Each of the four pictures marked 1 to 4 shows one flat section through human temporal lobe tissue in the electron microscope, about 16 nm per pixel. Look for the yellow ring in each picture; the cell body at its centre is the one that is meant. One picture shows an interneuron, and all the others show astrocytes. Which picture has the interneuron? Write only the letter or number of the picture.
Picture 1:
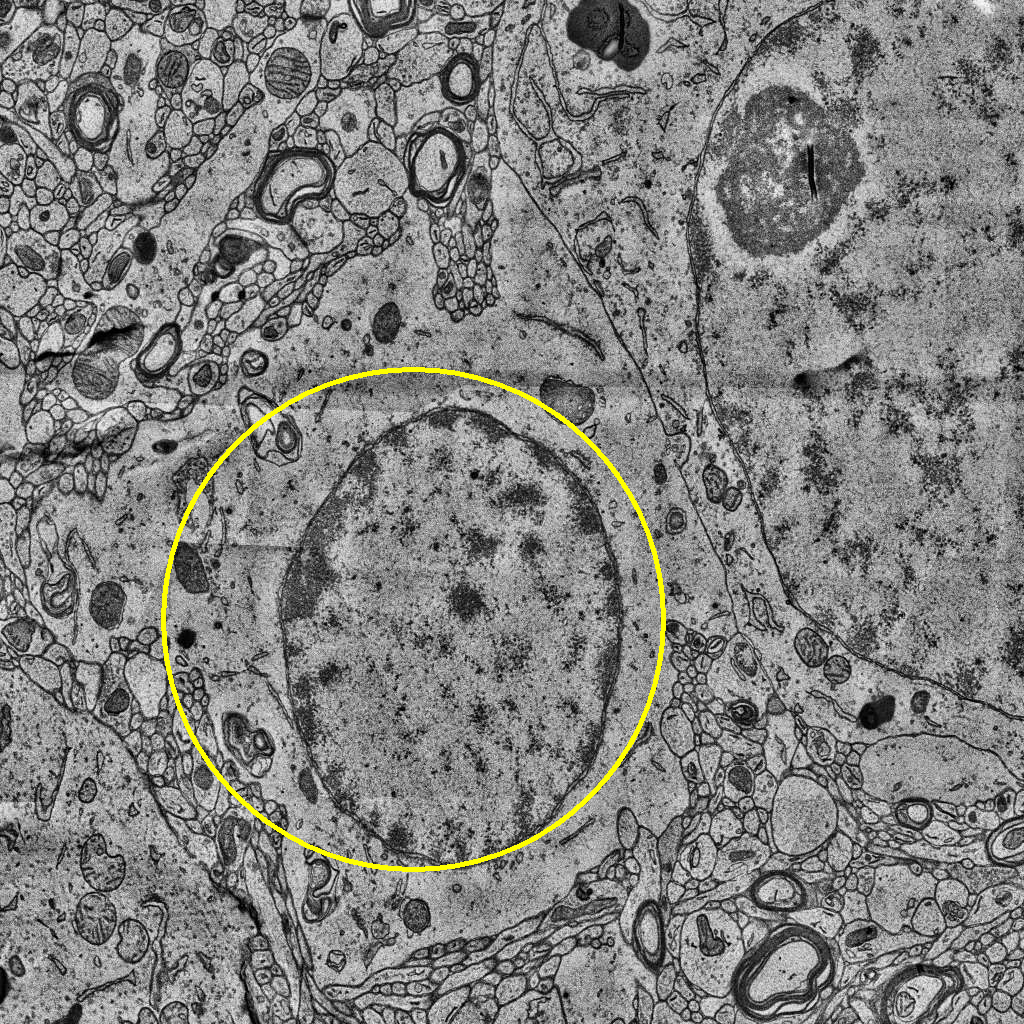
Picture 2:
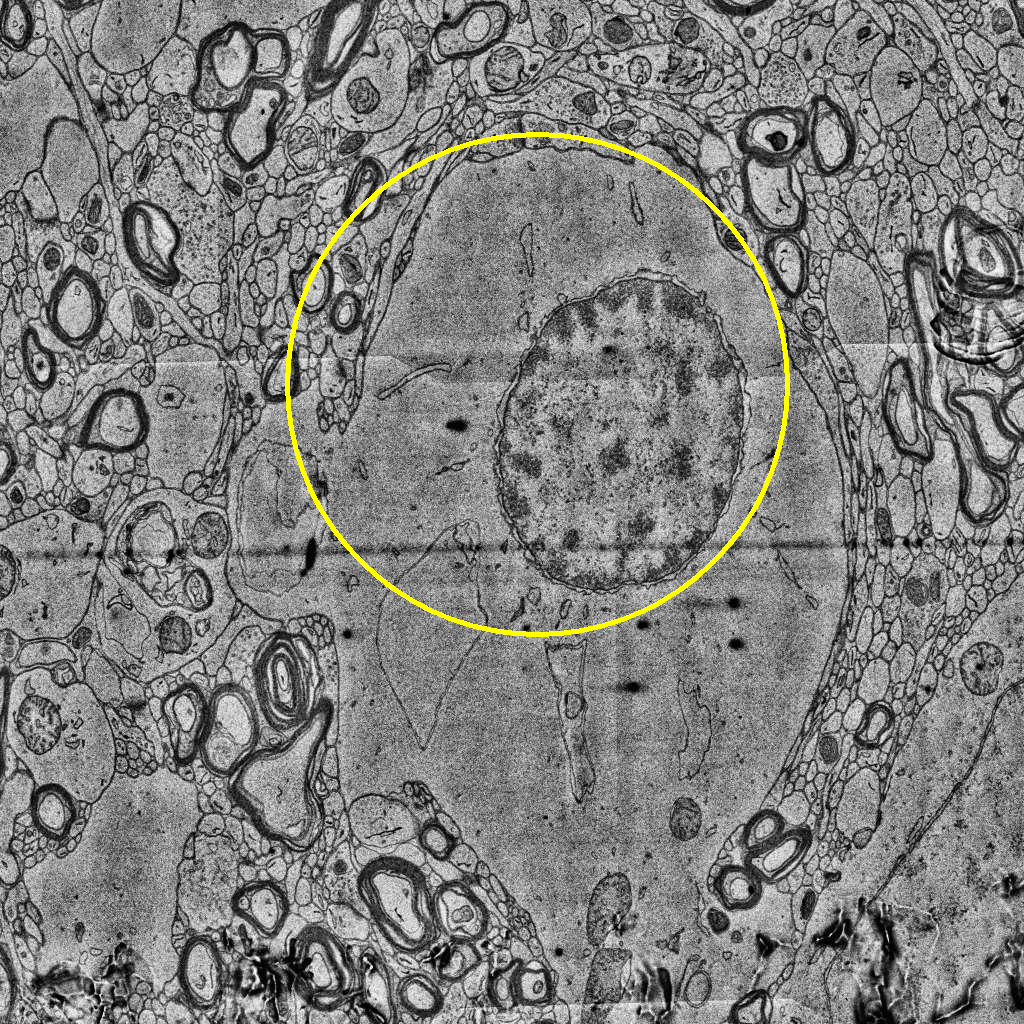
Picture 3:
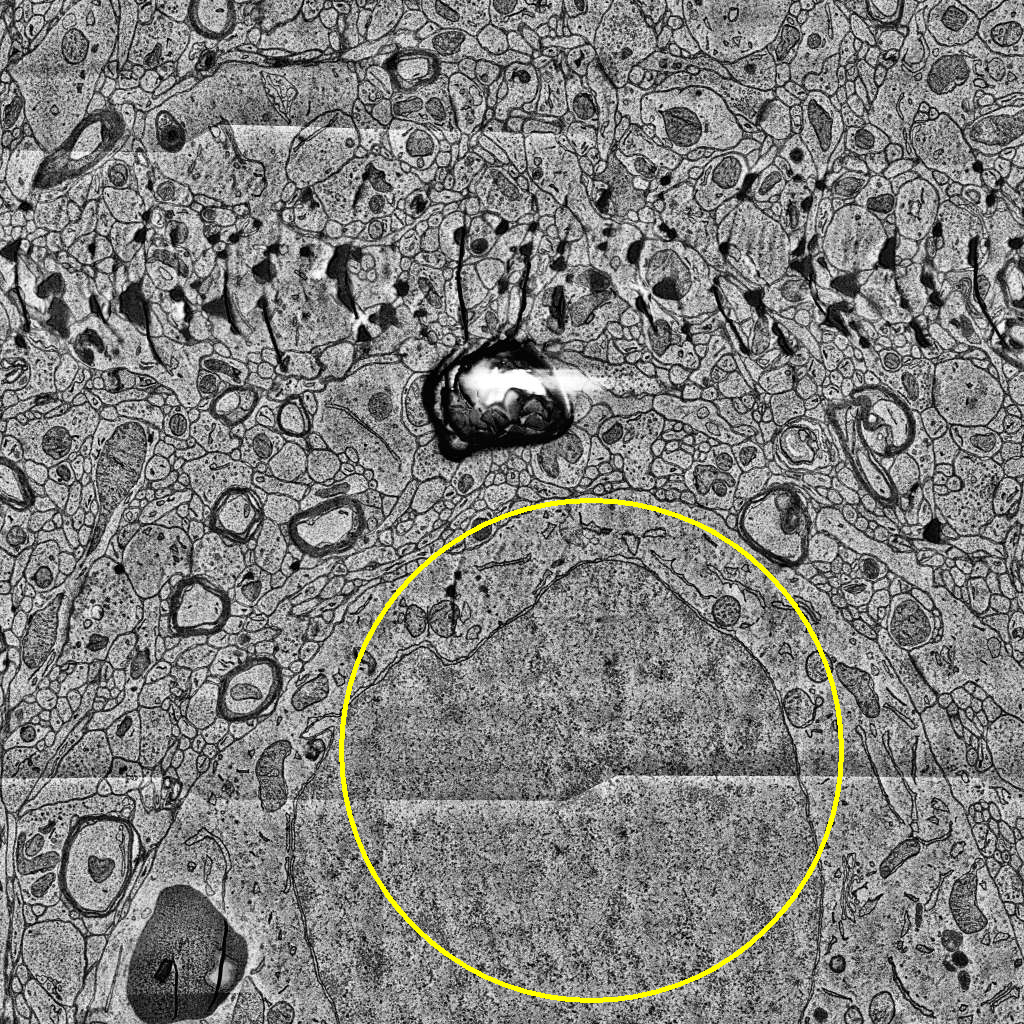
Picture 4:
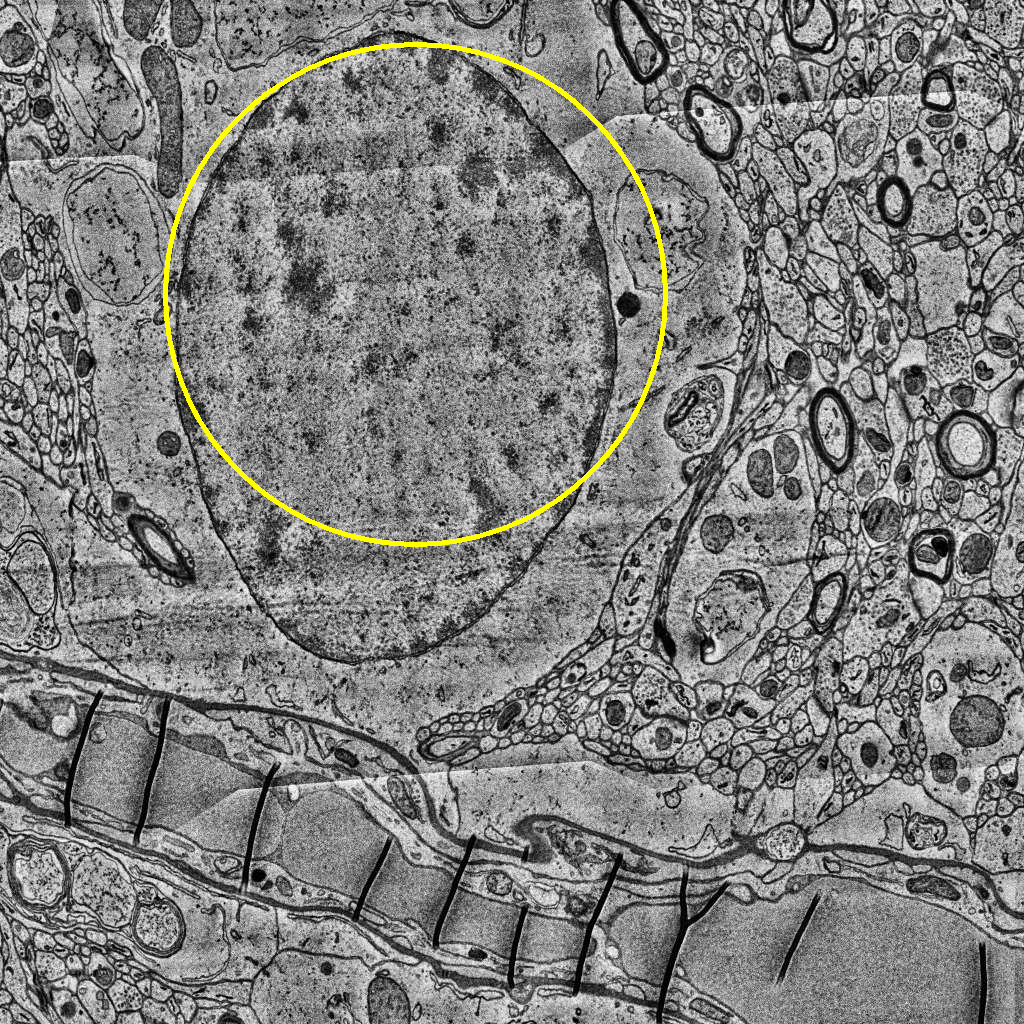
3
